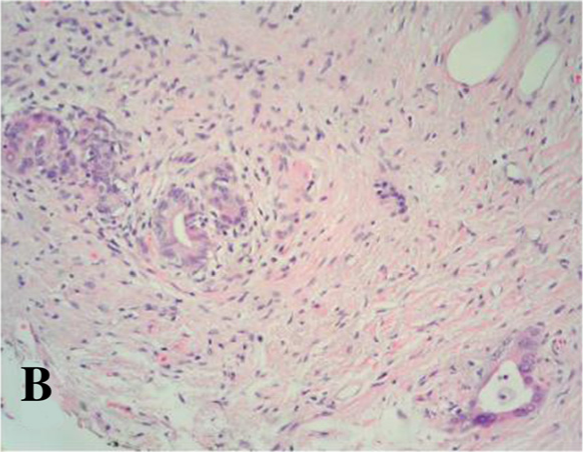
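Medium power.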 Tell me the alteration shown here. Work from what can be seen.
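Desmoplastic-like surrounding stroma. Scattered small ducts lie within a pale pink fibrous stroma. The stroma is cellular with elongated nuclei.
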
